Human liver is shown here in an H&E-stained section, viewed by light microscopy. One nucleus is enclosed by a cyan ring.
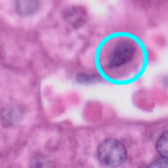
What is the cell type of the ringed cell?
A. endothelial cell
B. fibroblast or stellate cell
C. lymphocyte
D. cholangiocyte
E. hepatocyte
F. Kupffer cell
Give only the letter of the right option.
B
